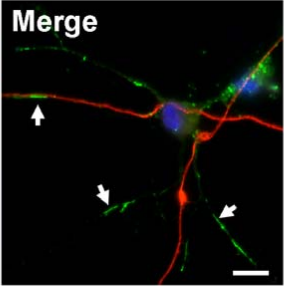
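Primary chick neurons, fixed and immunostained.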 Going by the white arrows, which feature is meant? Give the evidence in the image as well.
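The arrows point to short, bright green linear segments along processes. That points to this answer: rods.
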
